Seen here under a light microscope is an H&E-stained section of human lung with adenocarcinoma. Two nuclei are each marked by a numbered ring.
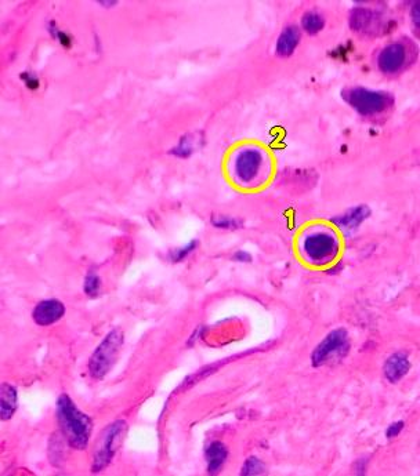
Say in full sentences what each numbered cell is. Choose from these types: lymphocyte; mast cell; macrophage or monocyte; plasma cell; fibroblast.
Cell 1 is a plasma cell. Cell 2 is a lymphocyte.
